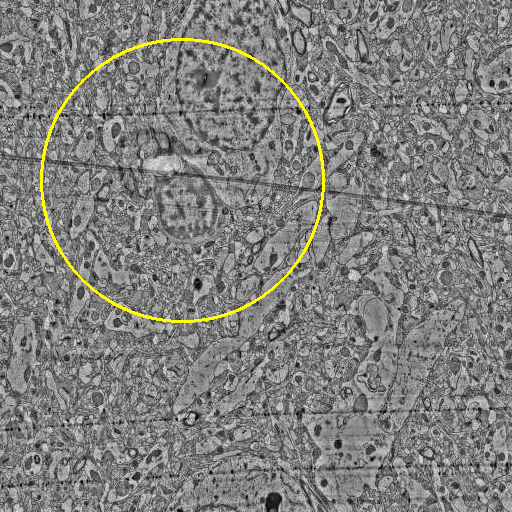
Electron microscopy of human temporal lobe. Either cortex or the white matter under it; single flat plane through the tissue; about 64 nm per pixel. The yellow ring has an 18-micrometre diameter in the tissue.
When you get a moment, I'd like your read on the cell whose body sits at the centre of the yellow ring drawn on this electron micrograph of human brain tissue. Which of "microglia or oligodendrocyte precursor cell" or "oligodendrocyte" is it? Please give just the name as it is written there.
oligodendrocyte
